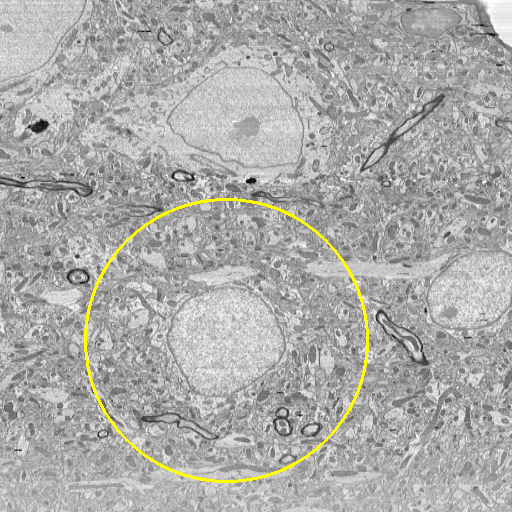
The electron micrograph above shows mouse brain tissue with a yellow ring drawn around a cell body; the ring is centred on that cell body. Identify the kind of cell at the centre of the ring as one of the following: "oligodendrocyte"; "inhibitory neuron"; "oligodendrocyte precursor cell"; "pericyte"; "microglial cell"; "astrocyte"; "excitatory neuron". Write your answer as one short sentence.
The cell at the centre of the ring is an astrocyte.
